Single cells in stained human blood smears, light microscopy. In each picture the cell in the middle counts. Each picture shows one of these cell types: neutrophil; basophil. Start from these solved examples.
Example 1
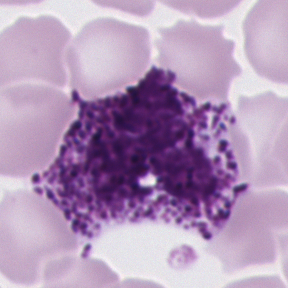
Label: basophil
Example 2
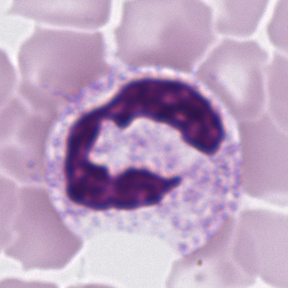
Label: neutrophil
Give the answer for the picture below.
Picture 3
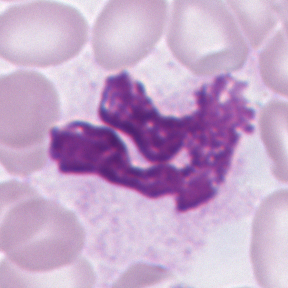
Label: neutrophil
